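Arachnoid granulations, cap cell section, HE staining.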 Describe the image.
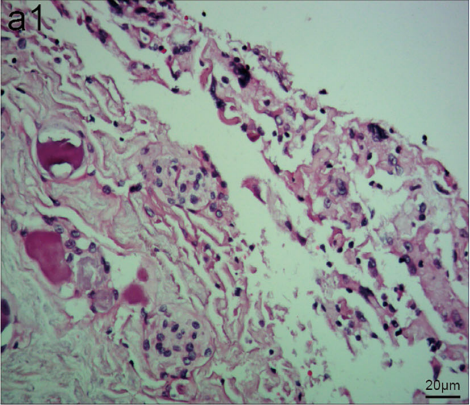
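Cells with round to oval, dark purple nuclei gather in small nests and along strands of pink fibres. A cleft runs diagonally through the field, bordered by fibre strands carrying scattered nuclei. Several homogeneous, deep pink rounded deposits lie within the tissue at the left. The fibrous matrix between the cell clusters is pale and loosely arranged.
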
